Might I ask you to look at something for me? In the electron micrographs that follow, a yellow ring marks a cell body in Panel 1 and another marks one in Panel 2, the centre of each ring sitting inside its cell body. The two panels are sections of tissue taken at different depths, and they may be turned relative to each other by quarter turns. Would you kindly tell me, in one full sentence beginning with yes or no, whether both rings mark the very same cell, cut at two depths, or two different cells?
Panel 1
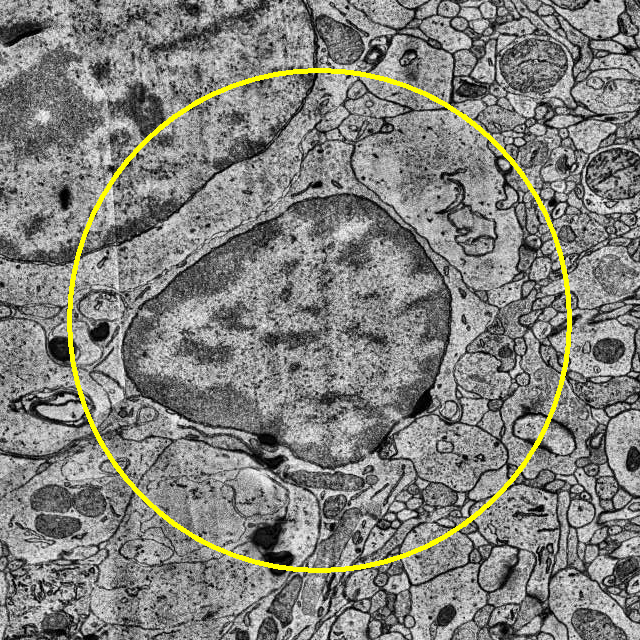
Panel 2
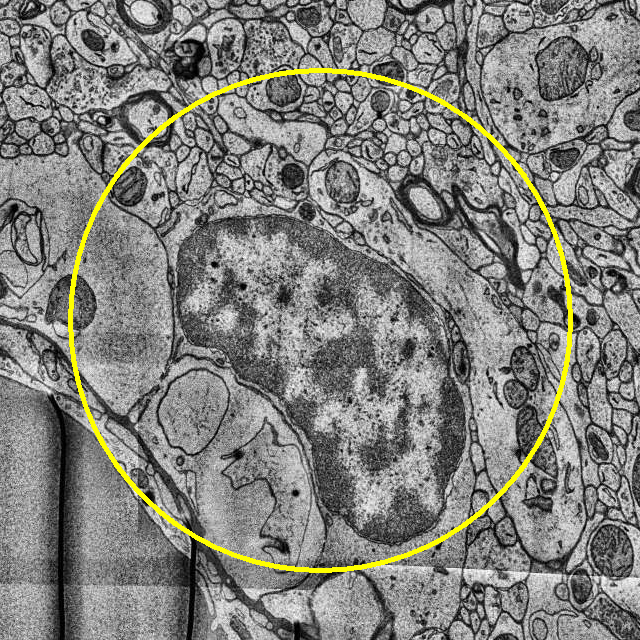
No, the two rings refer to two distinct cells.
